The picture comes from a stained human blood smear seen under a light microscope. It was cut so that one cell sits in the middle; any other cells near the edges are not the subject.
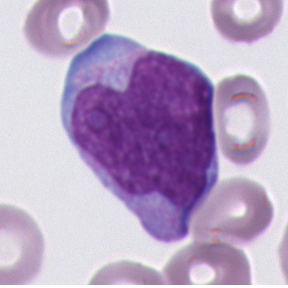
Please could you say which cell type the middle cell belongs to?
atypical promyelocyte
